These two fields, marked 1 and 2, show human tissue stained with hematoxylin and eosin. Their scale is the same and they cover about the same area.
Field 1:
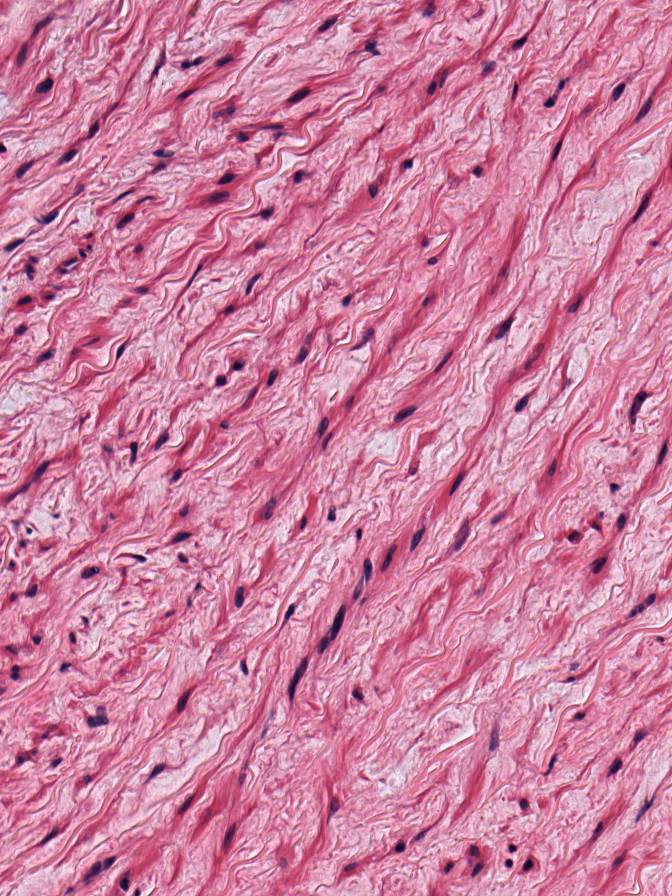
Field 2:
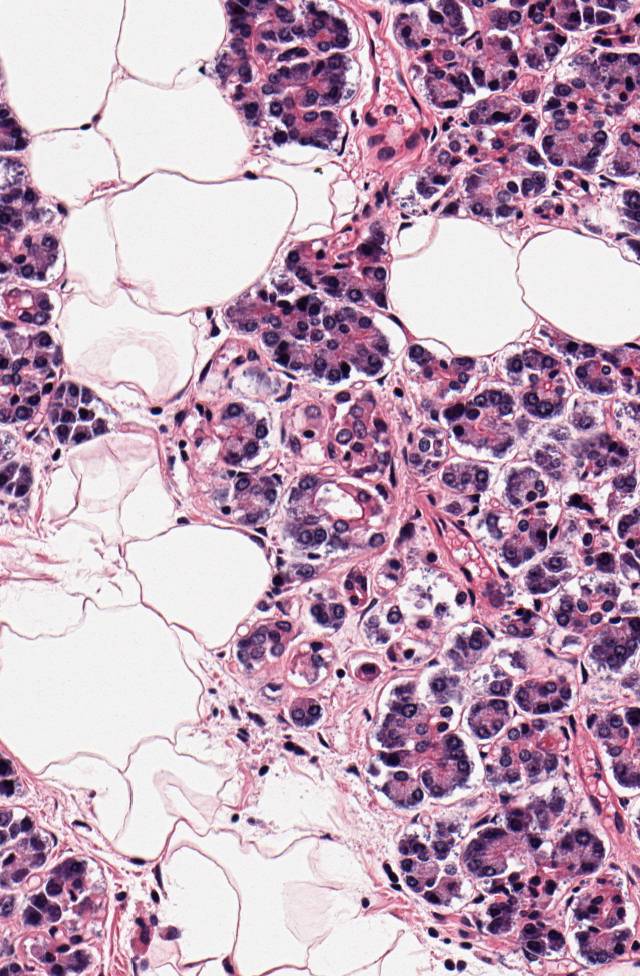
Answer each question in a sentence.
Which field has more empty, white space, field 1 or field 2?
It is field 2 in which white space covers the larger part.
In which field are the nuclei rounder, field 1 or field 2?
Rounder nuclei lie in field 2.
